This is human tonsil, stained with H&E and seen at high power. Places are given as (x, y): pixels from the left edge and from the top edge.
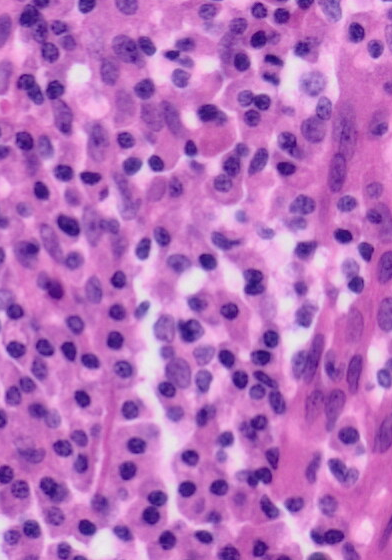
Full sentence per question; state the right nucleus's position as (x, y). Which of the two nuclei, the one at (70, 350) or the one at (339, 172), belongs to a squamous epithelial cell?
As for which of the two, the nucleus at (339, 172) belongs to a squamous epithelial cell.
